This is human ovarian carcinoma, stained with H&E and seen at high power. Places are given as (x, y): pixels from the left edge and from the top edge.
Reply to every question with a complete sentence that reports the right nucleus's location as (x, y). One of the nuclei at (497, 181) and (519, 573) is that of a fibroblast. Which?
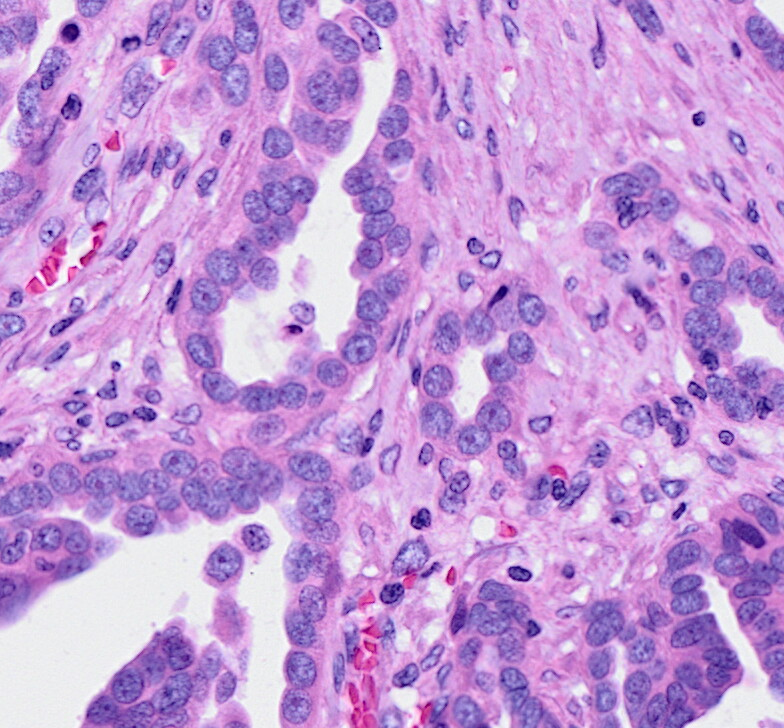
Of the two nuclei, the nucleus belonging to a fibroblast is located at (497, 181).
